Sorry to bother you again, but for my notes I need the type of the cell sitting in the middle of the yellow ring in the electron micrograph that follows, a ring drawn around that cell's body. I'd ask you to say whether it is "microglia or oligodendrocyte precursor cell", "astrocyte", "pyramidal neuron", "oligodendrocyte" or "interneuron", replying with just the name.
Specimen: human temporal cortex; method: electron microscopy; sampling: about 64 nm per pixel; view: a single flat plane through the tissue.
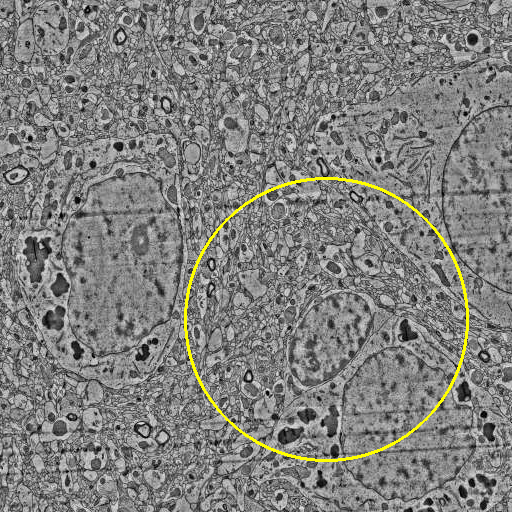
microglia or oligodendrocyte precursor cell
